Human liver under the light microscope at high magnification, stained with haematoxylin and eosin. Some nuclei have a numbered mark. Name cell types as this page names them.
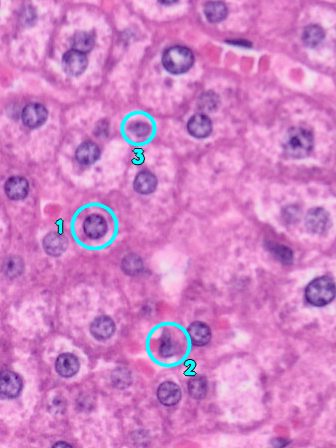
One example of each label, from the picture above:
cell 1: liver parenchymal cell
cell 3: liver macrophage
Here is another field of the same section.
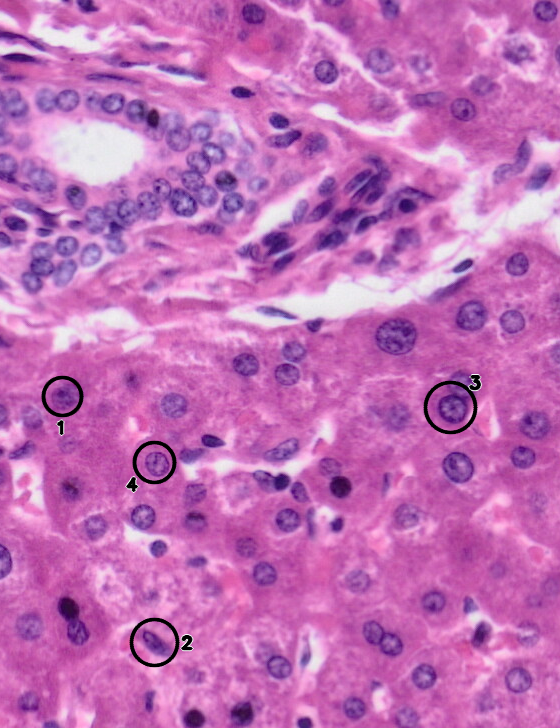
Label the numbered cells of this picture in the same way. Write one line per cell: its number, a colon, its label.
1: liver parenchymal cell
2: liver macrophage
3: liver parenchymal cell
4: liver parenchymal cell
